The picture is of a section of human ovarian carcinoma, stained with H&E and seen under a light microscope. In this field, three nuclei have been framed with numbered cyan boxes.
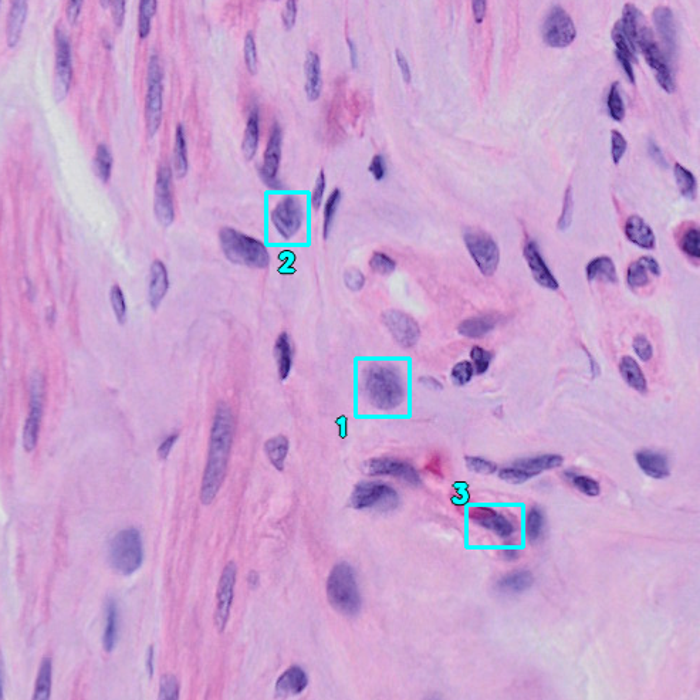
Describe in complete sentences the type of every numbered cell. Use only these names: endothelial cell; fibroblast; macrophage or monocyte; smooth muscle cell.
Cells 1 and 2 are fibroblasts. Cell 3 is an endothelial cell.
